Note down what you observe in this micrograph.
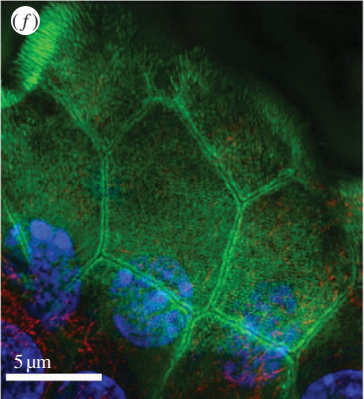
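Epithelial cells seen face-on form a mosaic of polygons, each outlined by thin green lines that at the borders resolve into two closely parallel lines, with a fine green meshwork filling each cell. Blue nuclei lie toward the bottom and scattered red-orange filaments run among them. The paired lines are the plasma membranes of neighbouring cells separated from one another.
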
